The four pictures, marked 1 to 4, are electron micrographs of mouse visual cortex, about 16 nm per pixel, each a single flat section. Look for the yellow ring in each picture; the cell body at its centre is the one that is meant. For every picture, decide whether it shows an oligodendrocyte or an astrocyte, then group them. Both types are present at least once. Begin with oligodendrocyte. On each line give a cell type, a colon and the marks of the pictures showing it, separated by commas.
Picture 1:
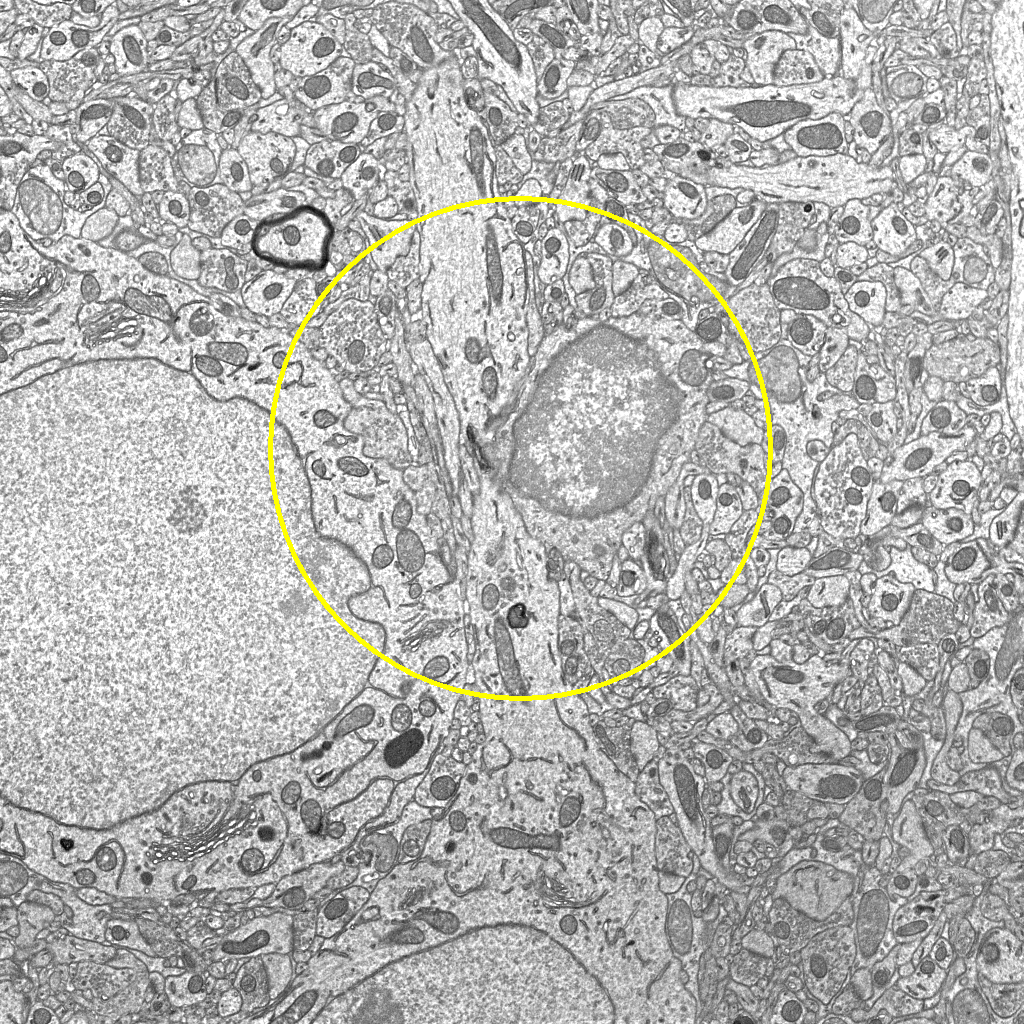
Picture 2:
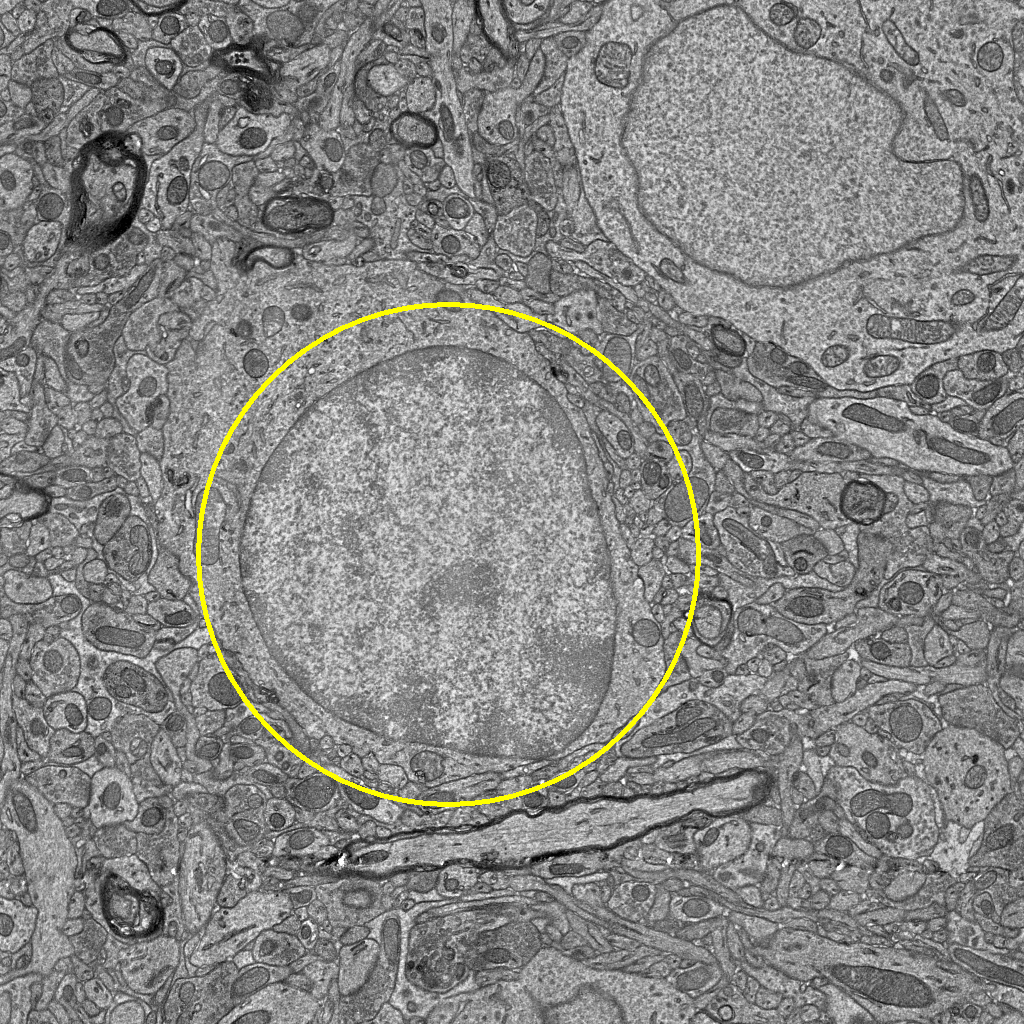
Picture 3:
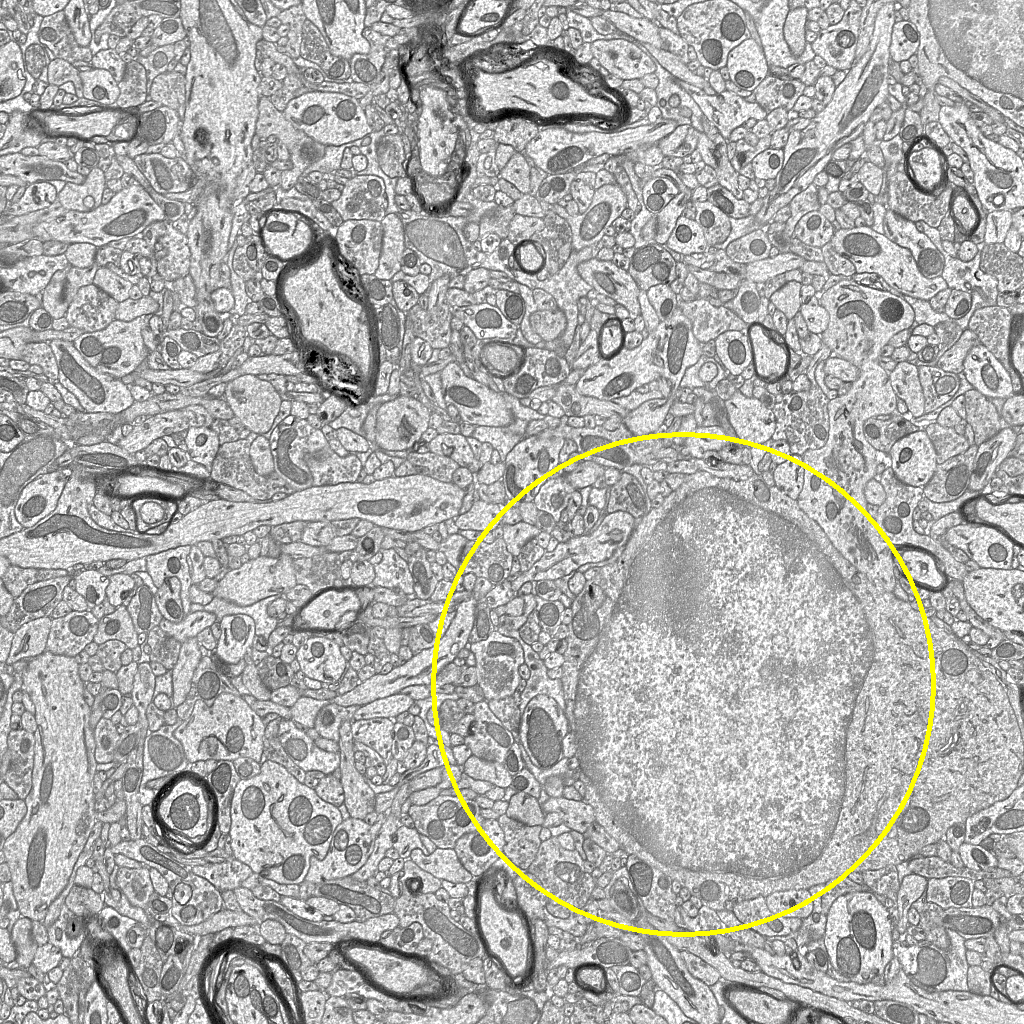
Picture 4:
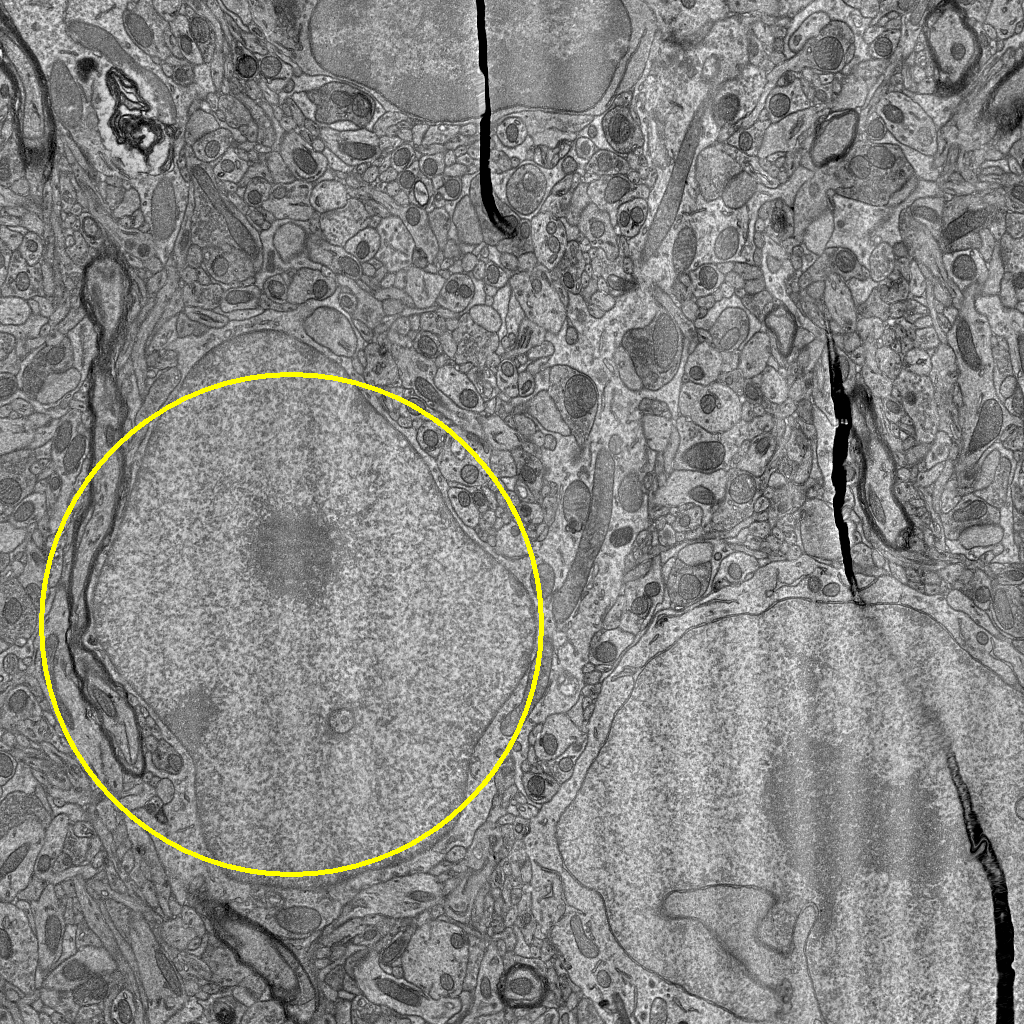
oligodendrocyte: 1, 2, 3
astrocyte: 4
